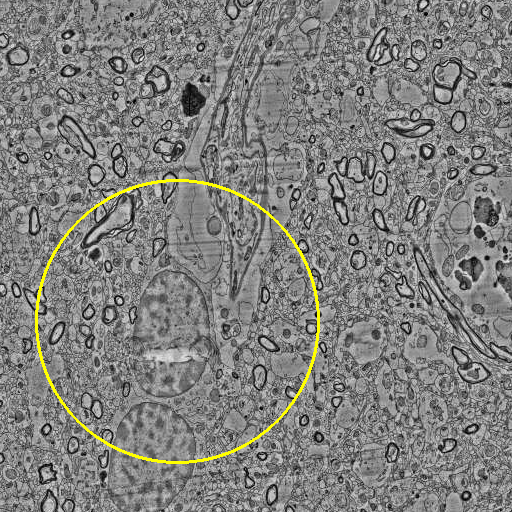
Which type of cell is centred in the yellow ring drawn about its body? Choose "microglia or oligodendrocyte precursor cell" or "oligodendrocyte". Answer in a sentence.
The yellow ring surrounds the cell body of an oligodendrocyte.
